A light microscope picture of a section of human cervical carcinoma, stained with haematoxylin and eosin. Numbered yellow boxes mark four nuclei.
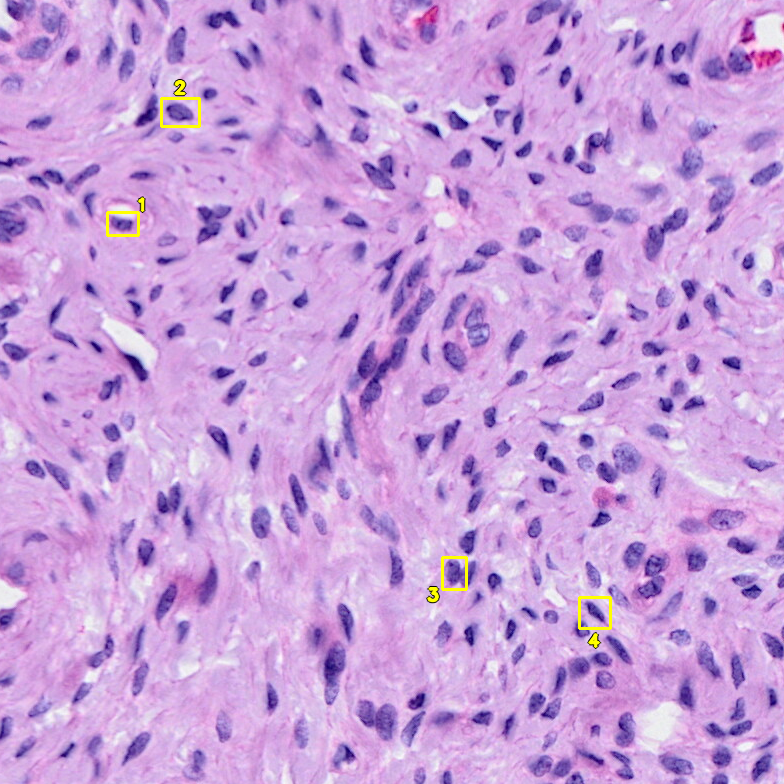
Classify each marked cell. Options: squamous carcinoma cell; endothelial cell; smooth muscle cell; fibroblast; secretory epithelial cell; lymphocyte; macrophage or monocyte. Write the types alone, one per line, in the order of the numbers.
endothelial cell
fibroblast
fibroblast
fibroblast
